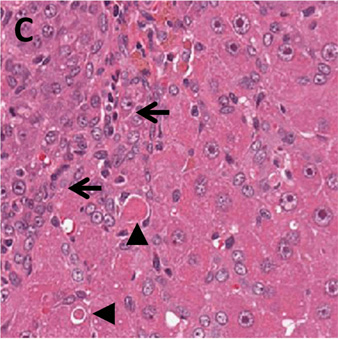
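Liver in which proliferating small bile duct–type cells and enlarged hepatocytes are seen side by side. On the left lies a band of small cells with dark, crowded nuclei and little cytoplasm, typical of biliary hyperplasia. To the right, hepatocytes are large and polygonal with abundant pink cytoplasm, and their round nuclei with prominent nucleoli vary strikingly in size. Scattered among them are single rounded, shrunken cells set apart from their neighbours, consistent with individual dying hepatocytes. The regular cord arrangement of normal liver is less evident.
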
